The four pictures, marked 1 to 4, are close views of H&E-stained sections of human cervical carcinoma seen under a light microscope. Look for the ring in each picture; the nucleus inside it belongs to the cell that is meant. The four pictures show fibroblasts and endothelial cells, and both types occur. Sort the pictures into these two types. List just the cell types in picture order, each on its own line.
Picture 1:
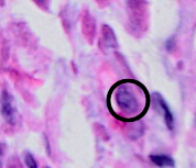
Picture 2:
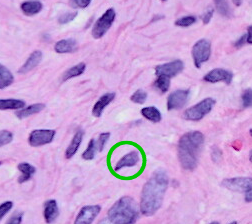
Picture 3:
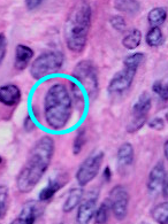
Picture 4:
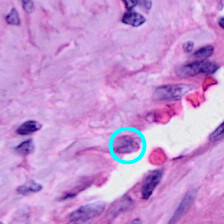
endothelial cell
fibroblast
endothelial cell
endothelial cell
